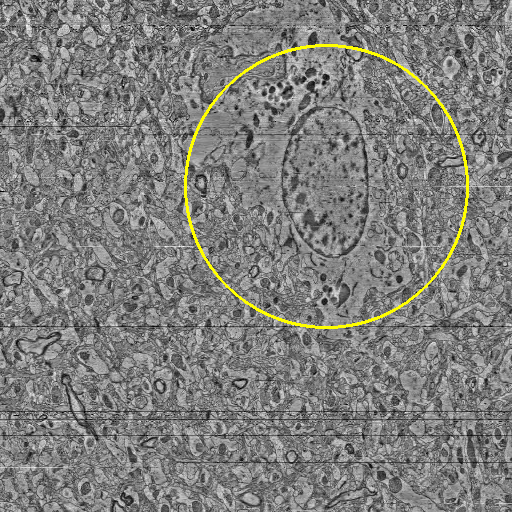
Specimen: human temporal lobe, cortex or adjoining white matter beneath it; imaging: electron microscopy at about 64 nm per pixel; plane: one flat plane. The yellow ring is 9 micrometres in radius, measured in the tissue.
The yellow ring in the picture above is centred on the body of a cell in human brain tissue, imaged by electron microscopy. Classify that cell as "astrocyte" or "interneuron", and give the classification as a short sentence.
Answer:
The cell in the middle of the ring is an astrocyte.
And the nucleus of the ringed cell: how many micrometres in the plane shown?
The ringed cell's nucleus is roughly 10 by 6 micrometres and clearly longer than it is wide in this plane.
